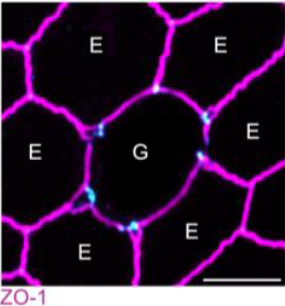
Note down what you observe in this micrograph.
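An en face view of an epithelium with a round goblet cell surrounded by polygonal neighbouring cells, all outlined by magenta junctional borders. Bright cyan dots sit at the points where three cell borders meet, most conspicuously around the round central cell.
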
